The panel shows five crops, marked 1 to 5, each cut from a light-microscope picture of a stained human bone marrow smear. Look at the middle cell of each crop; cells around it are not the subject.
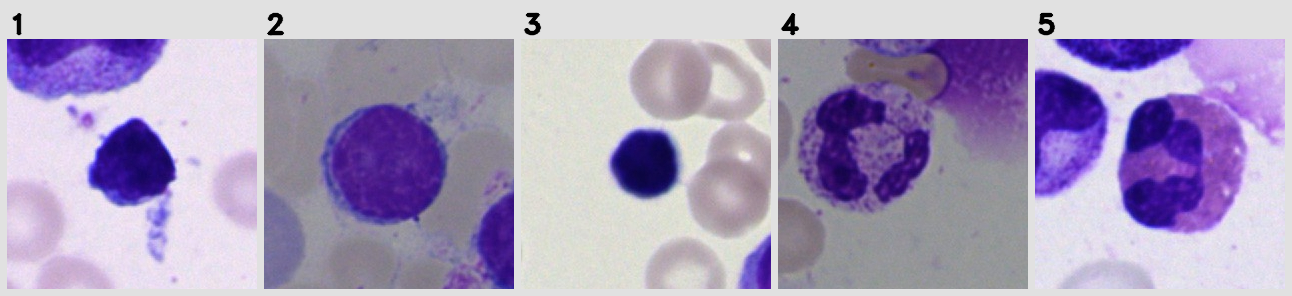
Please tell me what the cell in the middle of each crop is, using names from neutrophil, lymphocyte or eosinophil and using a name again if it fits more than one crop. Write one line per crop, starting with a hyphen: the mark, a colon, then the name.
- 1: lymphocyte
- 2: lymphocyte
- 3: lymphocyte
- 4: neutrophil
- 5: eosinophil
